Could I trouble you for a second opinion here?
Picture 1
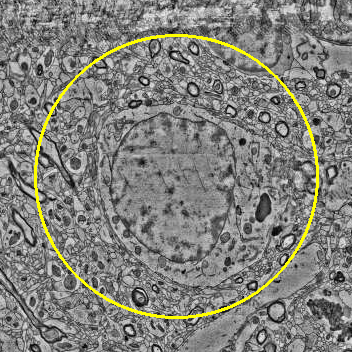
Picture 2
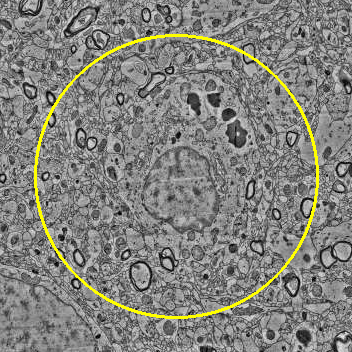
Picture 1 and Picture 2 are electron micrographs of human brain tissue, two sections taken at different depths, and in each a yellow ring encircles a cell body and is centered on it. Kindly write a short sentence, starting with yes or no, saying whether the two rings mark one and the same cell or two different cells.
No, a single cell is not marked twice here; two cells are marked.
